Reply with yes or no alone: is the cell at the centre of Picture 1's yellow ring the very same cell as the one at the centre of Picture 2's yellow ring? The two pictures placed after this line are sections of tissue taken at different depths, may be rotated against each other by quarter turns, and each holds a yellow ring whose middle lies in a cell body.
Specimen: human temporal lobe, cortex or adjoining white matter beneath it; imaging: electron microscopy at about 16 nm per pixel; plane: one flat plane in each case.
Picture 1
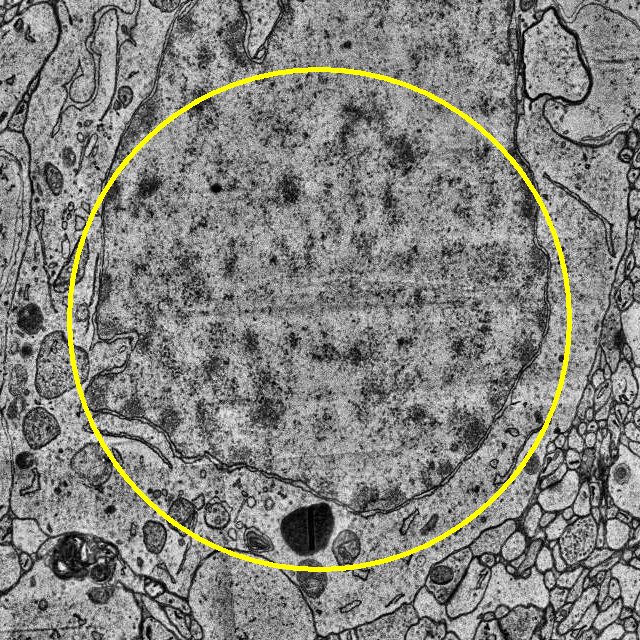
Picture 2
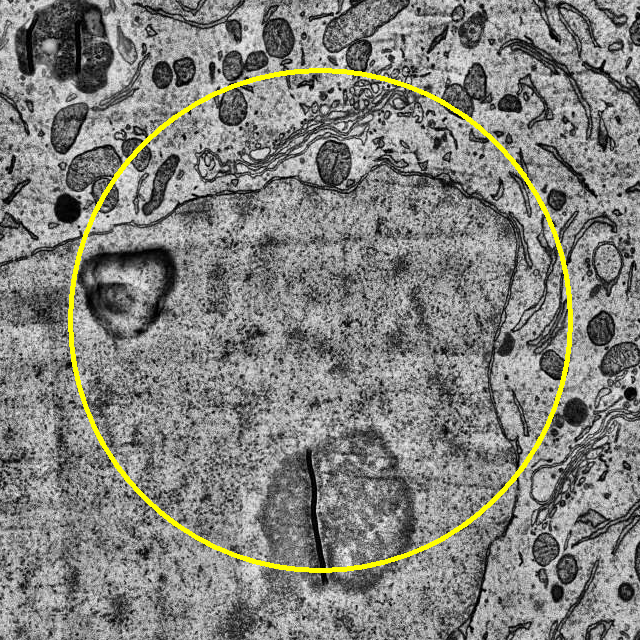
no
